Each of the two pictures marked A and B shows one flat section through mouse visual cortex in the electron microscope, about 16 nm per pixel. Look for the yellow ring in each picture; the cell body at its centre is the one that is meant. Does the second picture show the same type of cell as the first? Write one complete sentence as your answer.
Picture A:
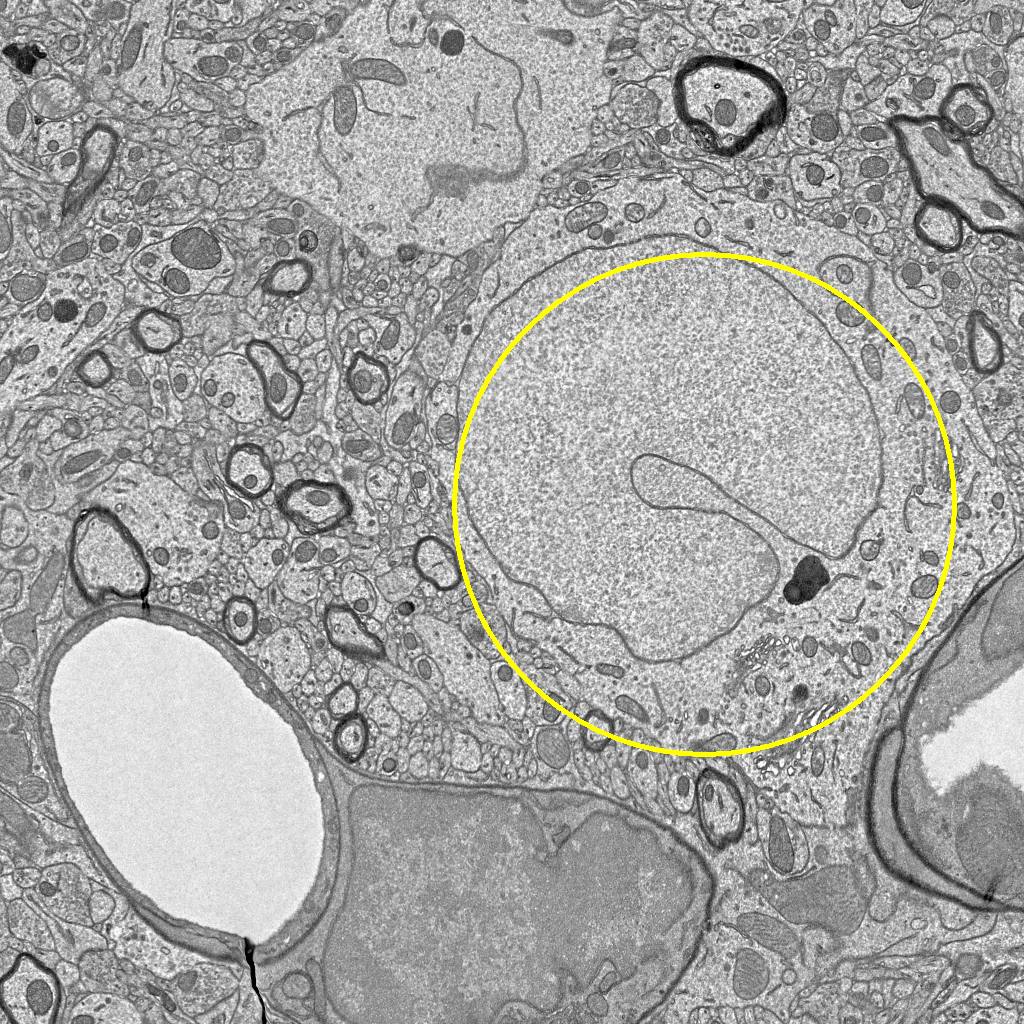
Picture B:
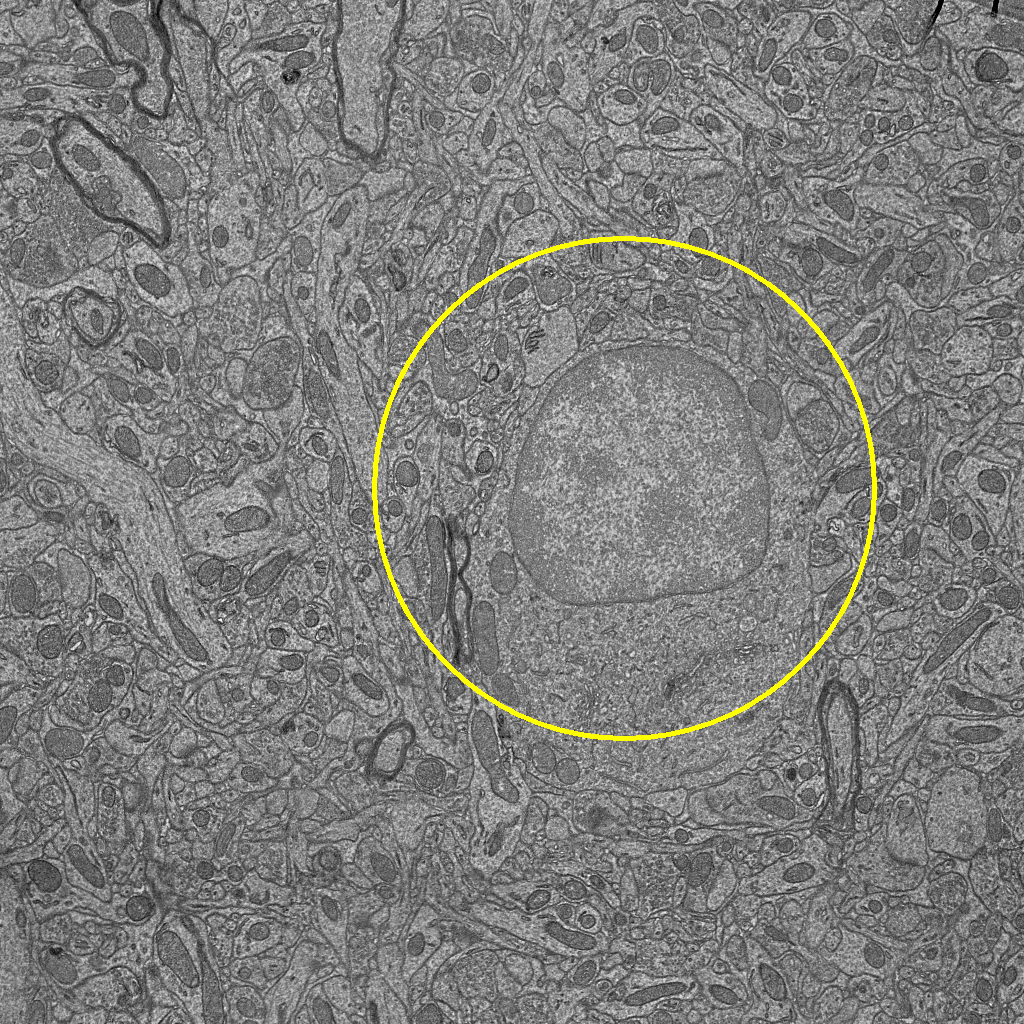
No, picture A shows an excitatory neuron and picture B shows an oligodendrocyte.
